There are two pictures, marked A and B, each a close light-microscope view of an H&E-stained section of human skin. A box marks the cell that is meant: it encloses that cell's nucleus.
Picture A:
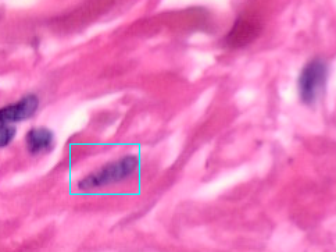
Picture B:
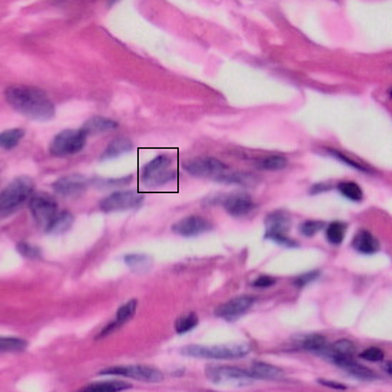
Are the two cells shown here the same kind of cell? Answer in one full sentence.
No, picture A shows a fibroblast and picture B shows an endothelial cell.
